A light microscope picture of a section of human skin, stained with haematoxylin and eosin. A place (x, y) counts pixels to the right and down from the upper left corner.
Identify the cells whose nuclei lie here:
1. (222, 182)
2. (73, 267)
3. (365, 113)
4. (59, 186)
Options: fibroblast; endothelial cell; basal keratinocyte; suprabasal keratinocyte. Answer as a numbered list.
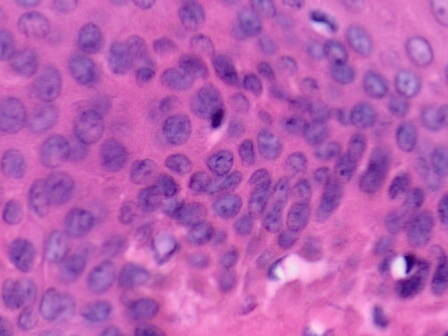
1. basal keratinocyte
2. suprabasal keratinocyte
3. suprabasal keratinocyte
4. suprabasal keratinocyte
